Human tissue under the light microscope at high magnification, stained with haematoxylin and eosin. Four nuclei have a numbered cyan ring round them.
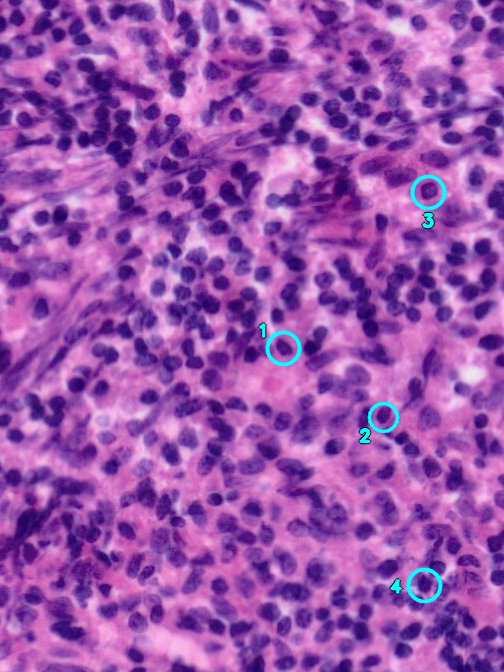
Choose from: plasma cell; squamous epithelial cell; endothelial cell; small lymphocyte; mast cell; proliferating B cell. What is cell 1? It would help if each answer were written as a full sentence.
The correct answer for cell 1 is a plasma cell.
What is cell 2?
Corresponding to a plasma cell is the cell labelled 2.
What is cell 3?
As for number 3, that cell is a plasma cell.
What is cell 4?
In this section, the cell numbered 4 is a small lymphocyte.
